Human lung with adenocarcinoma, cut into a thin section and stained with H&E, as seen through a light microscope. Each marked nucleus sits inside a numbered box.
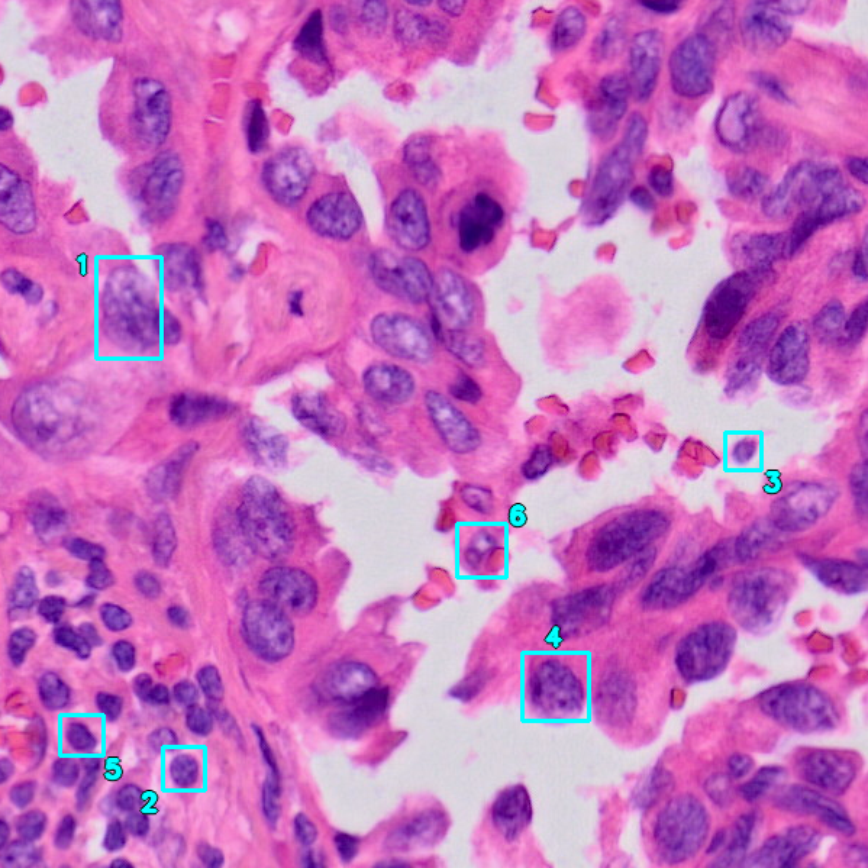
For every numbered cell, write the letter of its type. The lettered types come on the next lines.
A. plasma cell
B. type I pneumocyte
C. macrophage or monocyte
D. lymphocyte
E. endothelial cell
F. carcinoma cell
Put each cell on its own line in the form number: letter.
1: F
2: D
3: D
4: F
5: D
6: C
